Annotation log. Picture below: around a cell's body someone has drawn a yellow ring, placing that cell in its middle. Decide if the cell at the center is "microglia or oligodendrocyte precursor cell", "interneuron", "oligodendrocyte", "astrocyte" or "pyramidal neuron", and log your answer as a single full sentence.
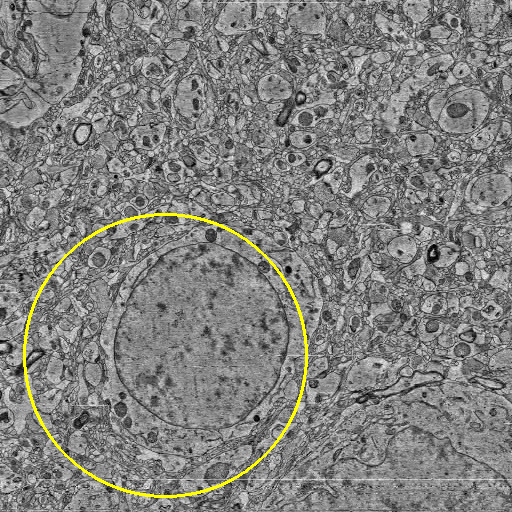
My entry records a pyramidal neuron as the cell sitting at the center of the yellow ring.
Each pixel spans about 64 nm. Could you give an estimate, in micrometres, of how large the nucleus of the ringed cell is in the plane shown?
The nucleus is approximately 12 micrometers across in this plane.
